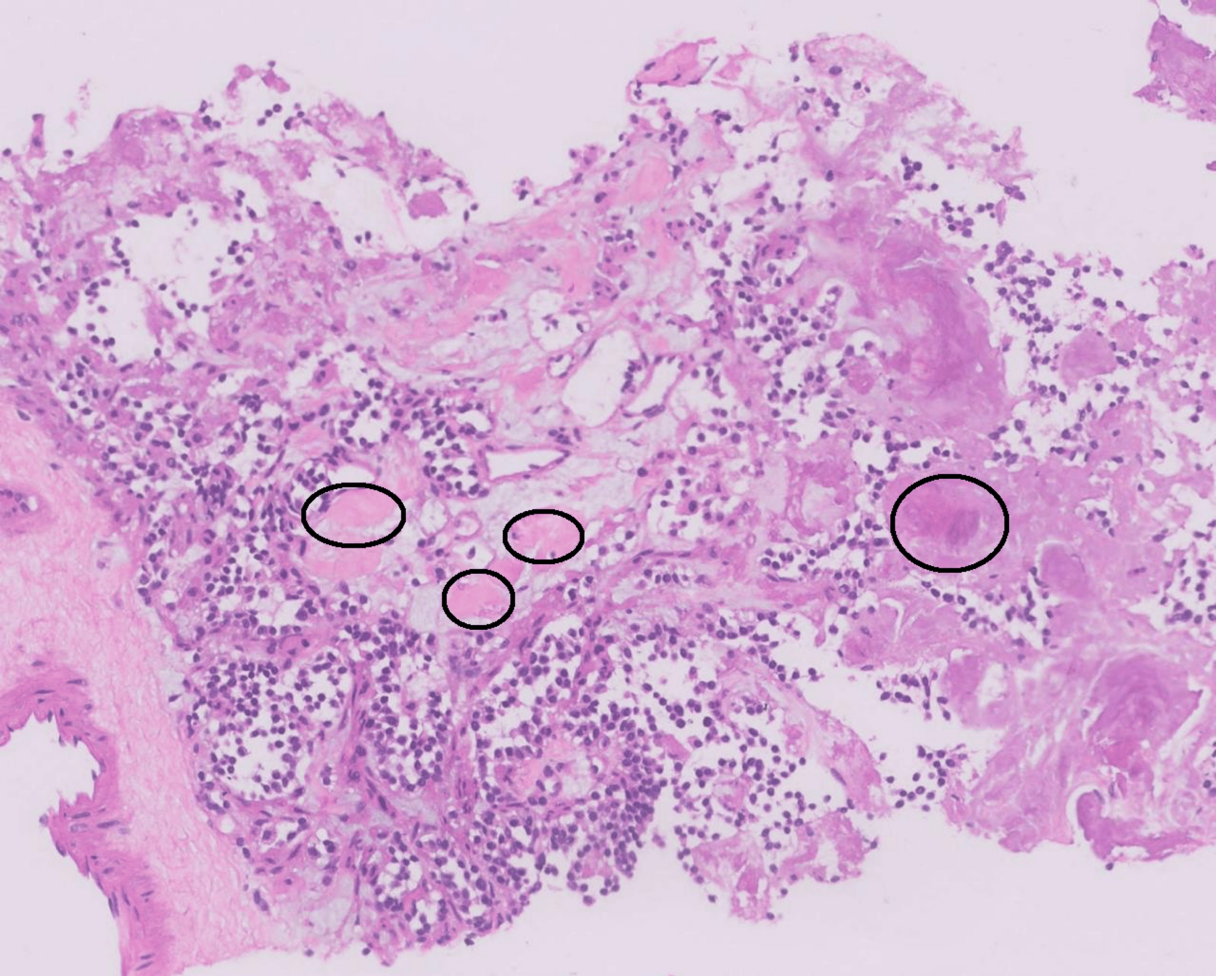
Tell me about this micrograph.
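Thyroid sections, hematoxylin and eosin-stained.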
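The cells are small and round, with dark purple, roughly round nuclei. Each nucleus is surrounded by only a thin to moderate rim of pale purplish-pink cytoplasm. The cells are packed most densely in the lower left and centre, and they become looser toward the top and right, where the tissue is more broken up. Between the cell groups lie smooth, glassy pink masses that have no nuclei of their own; these are larger and more confluent on the right side. Along the left edge runs a band of denser pink tissue containing elongated nuclei.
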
